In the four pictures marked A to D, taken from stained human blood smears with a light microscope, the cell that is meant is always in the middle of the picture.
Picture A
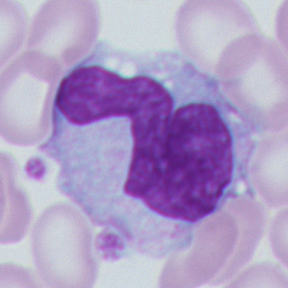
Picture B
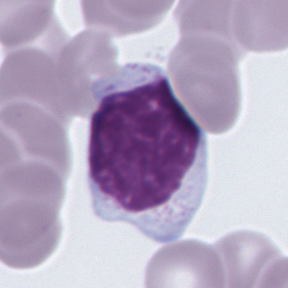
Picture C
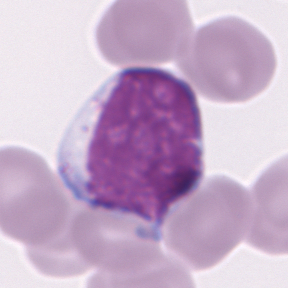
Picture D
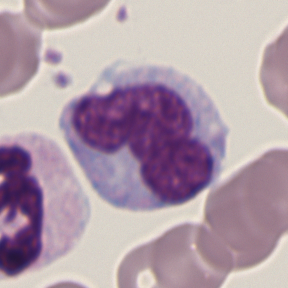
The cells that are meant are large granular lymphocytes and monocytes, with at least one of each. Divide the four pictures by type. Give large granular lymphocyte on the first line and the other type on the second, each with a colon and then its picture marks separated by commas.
large granular lymphocyte: B, C
monocyte: A, D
